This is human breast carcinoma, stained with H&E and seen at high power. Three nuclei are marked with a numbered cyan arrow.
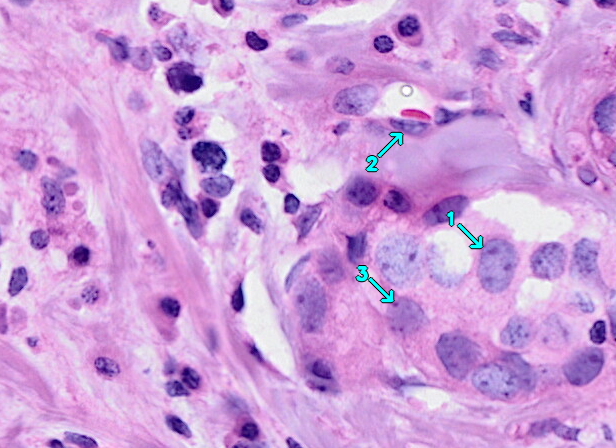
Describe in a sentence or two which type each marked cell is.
Cell 1 is a carcinoma cell, cell 2 is an endothelial cell and cell 3 is a carcinoma cell.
